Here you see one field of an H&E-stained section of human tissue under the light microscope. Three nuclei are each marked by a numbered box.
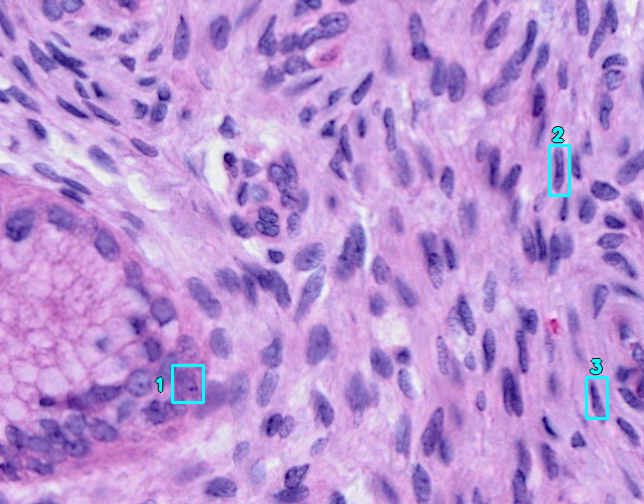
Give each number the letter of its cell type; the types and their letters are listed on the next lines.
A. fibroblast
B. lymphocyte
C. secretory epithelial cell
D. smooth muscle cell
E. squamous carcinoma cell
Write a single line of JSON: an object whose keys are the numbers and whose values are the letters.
{"1": "C", "2": "A", "3": "A"}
